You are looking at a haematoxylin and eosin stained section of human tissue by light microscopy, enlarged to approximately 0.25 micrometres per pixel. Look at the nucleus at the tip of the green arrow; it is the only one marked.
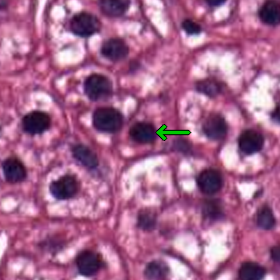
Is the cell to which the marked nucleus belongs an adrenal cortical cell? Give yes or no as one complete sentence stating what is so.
Yes, the marked nucleus is held by an adrenal cortical cell.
